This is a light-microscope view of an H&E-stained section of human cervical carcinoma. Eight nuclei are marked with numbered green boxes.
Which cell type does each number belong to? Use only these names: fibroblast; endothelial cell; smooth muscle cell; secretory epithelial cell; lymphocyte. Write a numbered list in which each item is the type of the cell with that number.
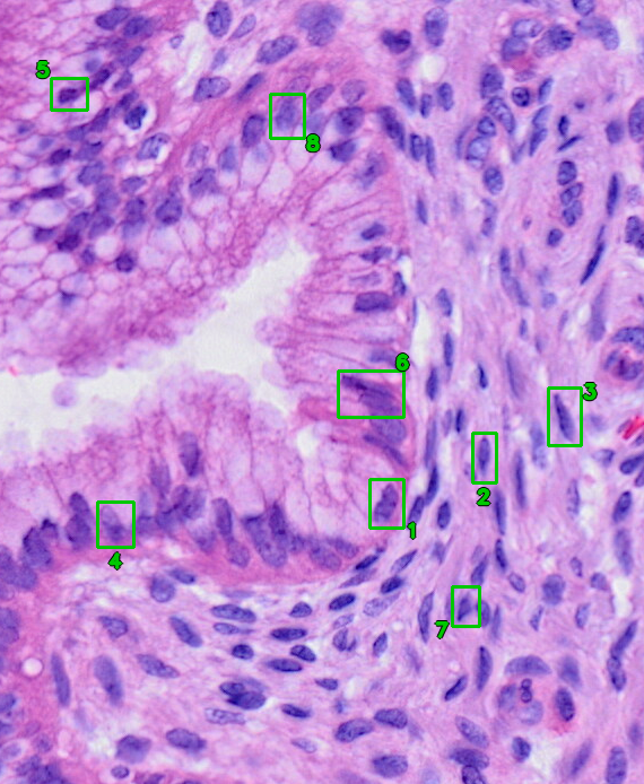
1. secretory epithelial cell
2. fibroblast
3. fibroblast
4. secretory epithelial cell
5. secretory epithelial cell
6. secretory epithelial cell
7. fibroblast
8. secretory epithelial cell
